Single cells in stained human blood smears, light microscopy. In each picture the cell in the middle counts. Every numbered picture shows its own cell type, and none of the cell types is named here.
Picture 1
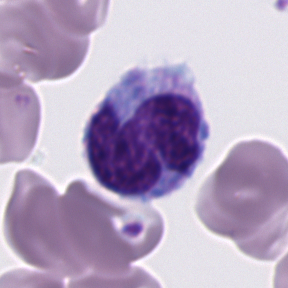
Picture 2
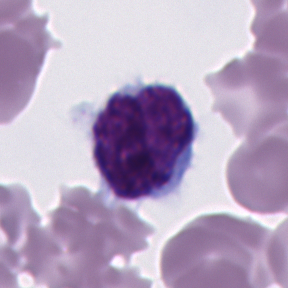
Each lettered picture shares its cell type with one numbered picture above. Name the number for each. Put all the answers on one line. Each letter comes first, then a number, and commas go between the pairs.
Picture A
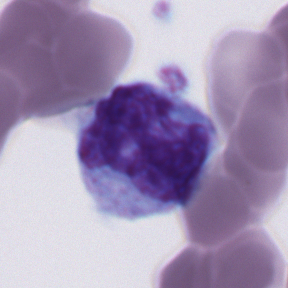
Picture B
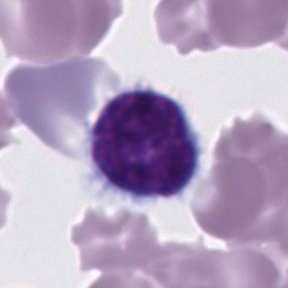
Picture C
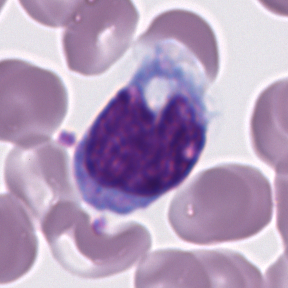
A 1, B 2, C 1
